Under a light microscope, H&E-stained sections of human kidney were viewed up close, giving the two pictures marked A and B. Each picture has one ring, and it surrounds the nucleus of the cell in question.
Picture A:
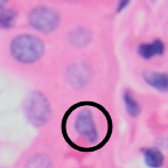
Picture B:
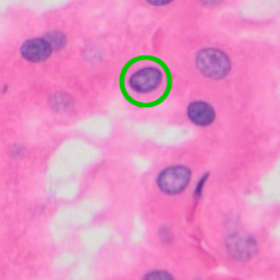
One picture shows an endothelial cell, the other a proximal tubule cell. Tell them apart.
A: endothelial cell
B: proximal tubule cell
